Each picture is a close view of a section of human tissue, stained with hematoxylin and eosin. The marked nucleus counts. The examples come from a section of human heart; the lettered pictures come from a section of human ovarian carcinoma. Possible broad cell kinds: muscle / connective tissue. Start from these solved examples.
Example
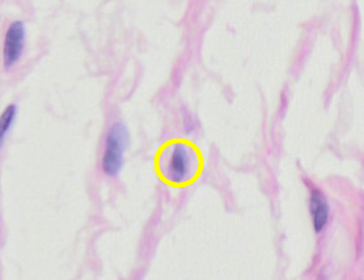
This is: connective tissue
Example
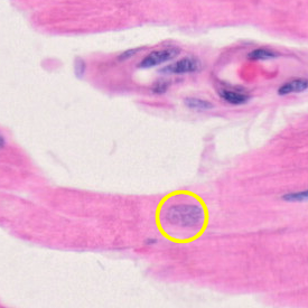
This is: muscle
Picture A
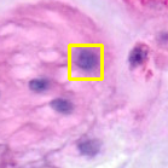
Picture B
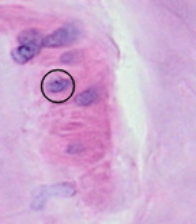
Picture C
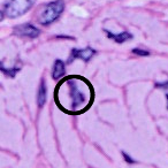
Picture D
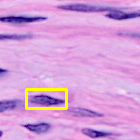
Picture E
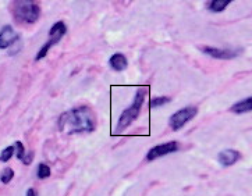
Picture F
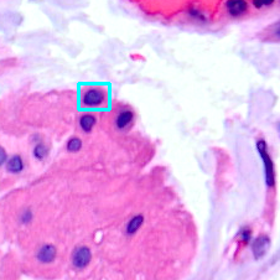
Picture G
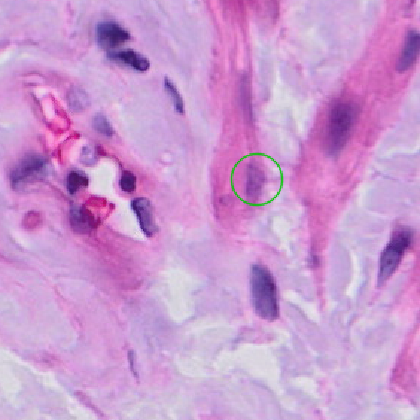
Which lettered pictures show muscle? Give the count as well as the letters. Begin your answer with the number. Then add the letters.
Count: 5 (A, B, D, F, G)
